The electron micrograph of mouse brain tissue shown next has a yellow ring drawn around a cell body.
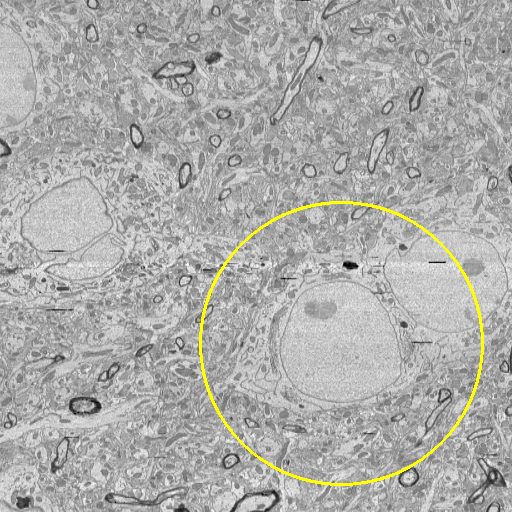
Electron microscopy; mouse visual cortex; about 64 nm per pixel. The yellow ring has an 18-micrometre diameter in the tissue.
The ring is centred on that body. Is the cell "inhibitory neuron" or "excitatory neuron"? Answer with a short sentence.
The cell in question is an excitatory neuron.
